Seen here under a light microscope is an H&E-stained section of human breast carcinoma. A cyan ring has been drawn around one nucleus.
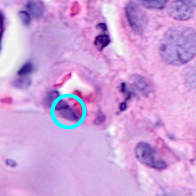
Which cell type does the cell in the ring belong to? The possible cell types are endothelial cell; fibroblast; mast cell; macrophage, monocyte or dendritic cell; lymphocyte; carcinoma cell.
endothelial cell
